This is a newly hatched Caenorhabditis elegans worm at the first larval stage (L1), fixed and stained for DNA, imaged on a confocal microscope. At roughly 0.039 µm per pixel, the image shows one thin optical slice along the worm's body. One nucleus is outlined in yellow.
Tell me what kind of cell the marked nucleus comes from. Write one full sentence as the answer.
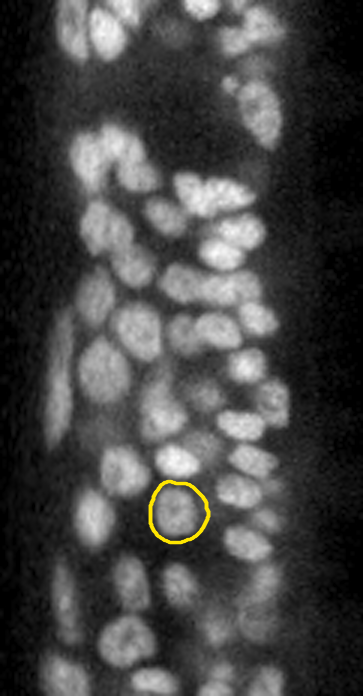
It belongs to a pharyngeal muscle cell.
